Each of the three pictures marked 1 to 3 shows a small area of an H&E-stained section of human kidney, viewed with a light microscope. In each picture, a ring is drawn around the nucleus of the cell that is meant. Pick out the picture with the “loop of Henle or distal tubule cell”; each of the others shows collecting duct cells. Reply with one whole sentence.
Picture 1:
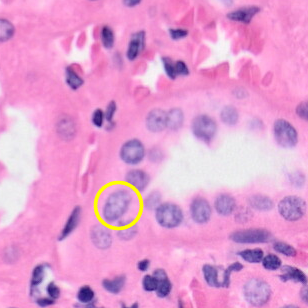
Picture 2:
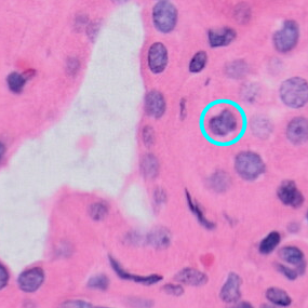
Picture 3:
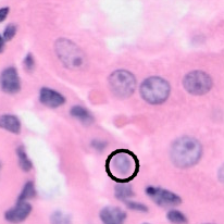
The cell in picture 2 is the “loop of Henle or distal tubule cell”.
